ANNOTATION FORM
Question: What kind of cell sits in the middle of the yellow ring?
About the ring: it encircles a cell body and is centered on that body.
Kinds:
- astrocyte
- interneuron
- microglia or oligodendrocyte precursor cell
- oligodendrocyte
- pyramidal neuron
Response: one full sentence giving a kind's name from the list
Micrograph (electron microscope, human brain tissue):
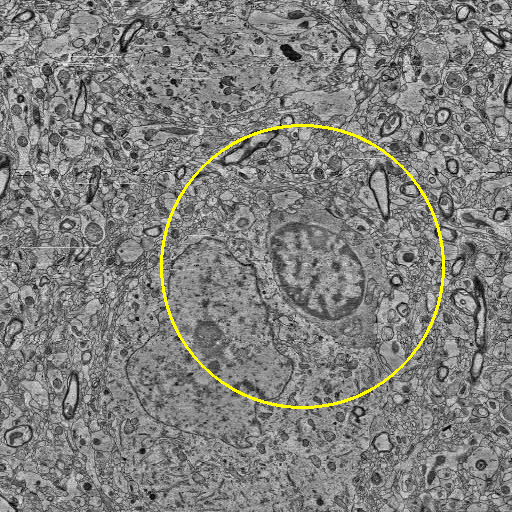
The kind of cell found at the center of the yellow ring in the micrograph is an oligodendrocyte.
